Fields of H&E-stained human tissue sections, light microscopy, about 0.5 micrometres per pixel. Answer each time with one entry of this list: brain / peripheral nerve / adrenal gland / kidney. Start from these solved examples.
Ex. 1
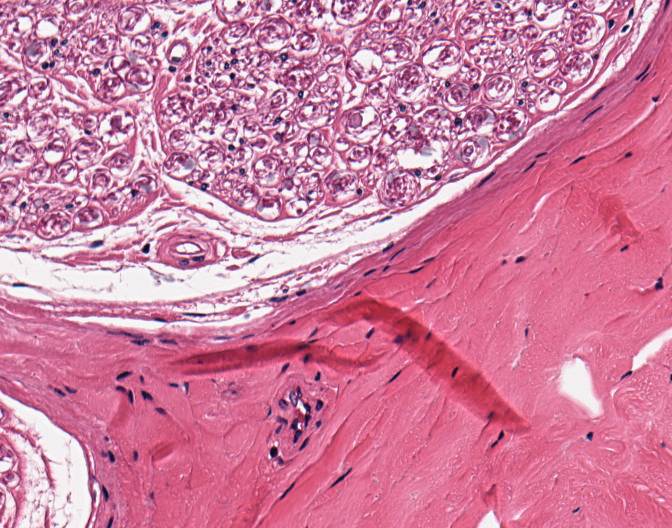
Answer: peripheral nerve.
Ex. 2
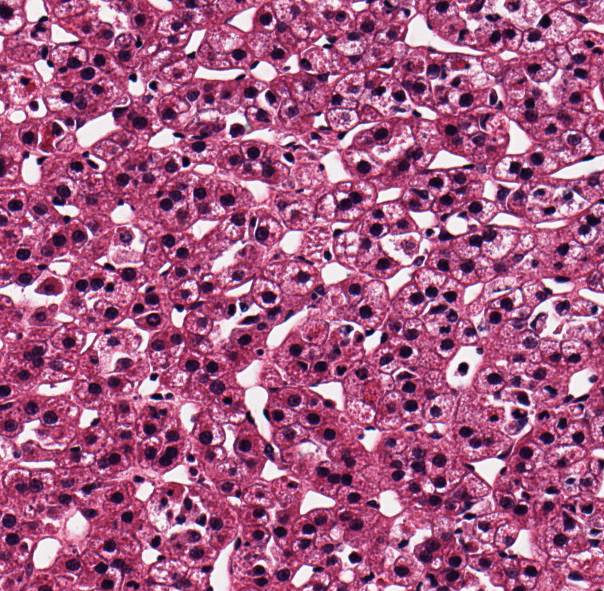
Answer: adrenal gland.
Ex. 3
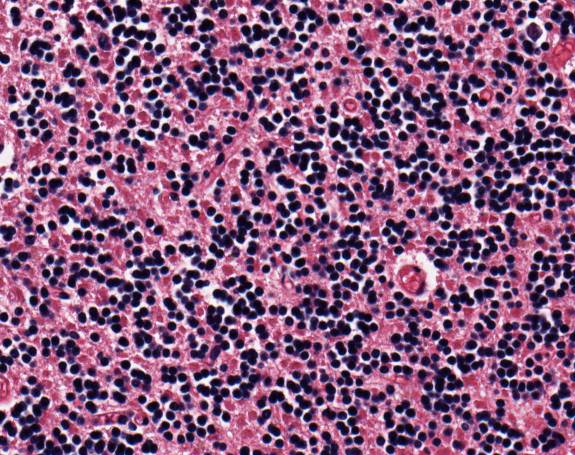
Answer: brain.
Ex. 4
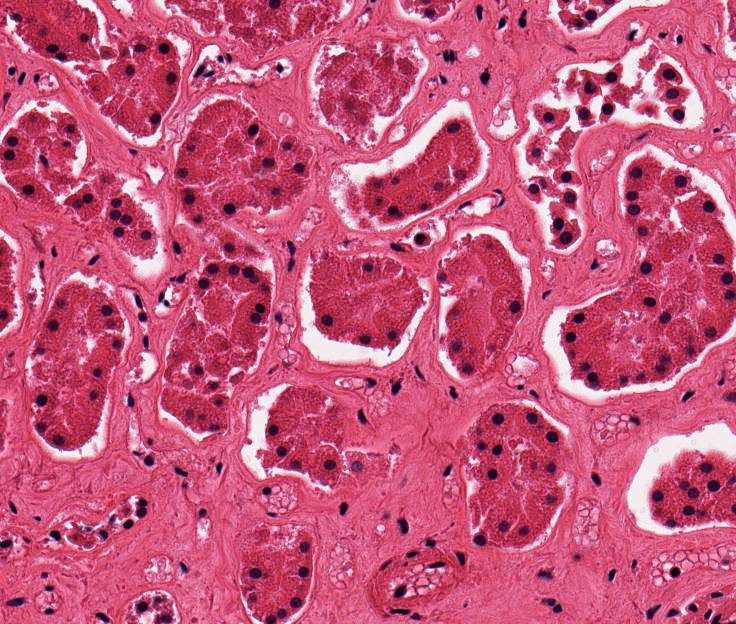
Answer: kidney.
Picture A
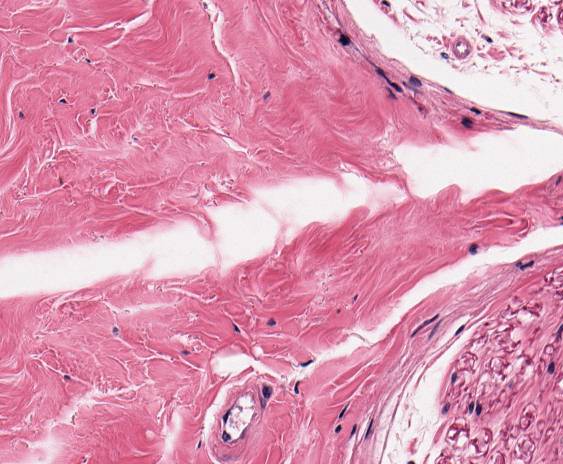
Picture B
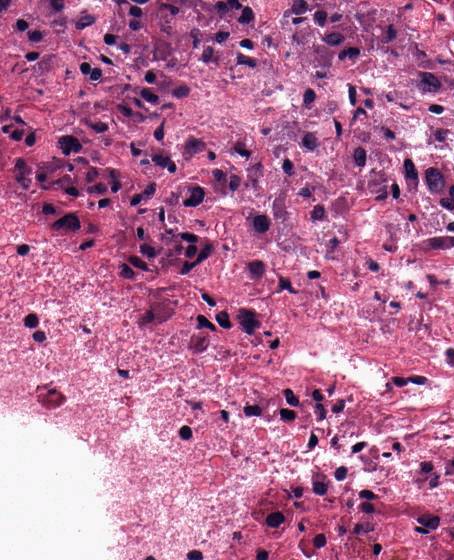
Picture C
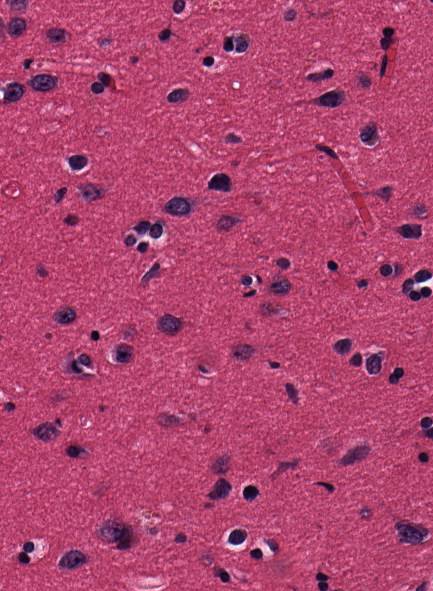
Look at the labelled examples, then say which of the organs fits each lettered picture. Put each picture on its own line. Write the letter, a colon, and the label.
A: peripheral nerve.
B: adrenal gland.
C: brain.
